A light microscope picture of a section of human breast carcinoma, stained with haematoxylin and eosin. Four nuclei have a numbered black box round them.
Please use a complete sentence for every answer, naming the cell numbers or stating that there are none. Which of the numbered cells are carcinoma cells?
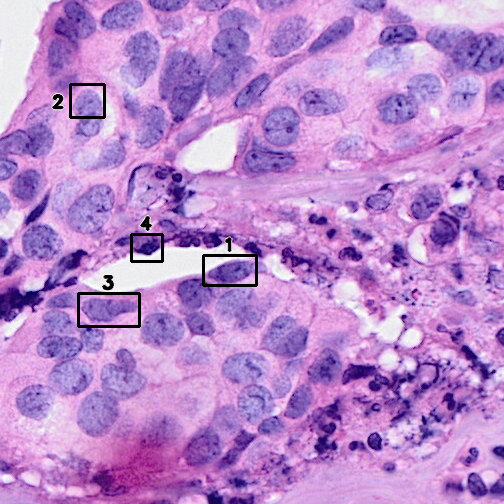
The cells numbered 1, 2 and 3 are of one kind: carcinoma cells.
